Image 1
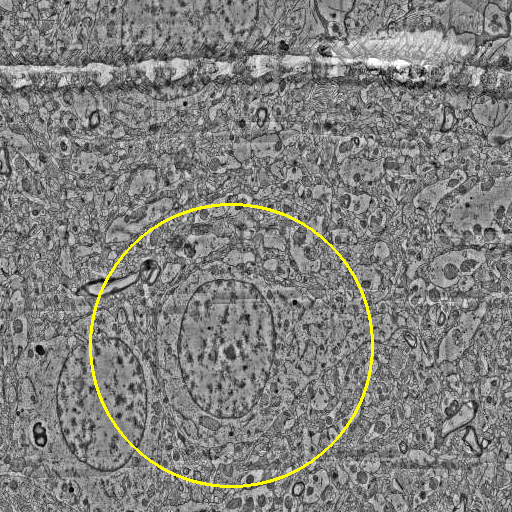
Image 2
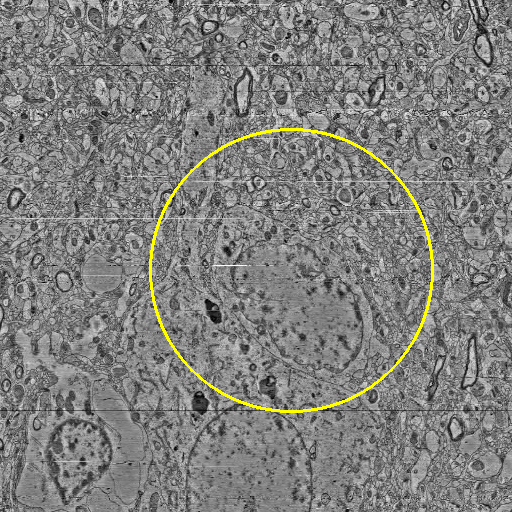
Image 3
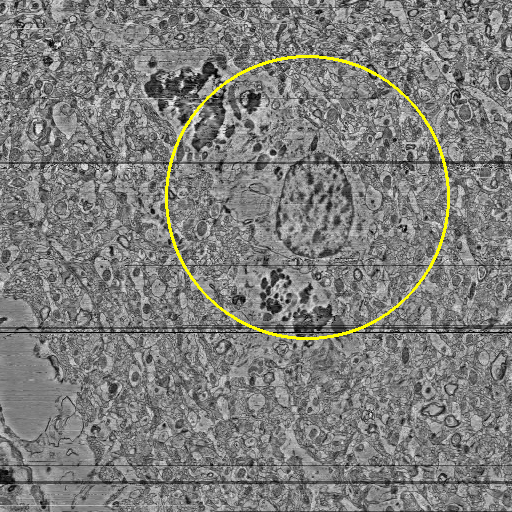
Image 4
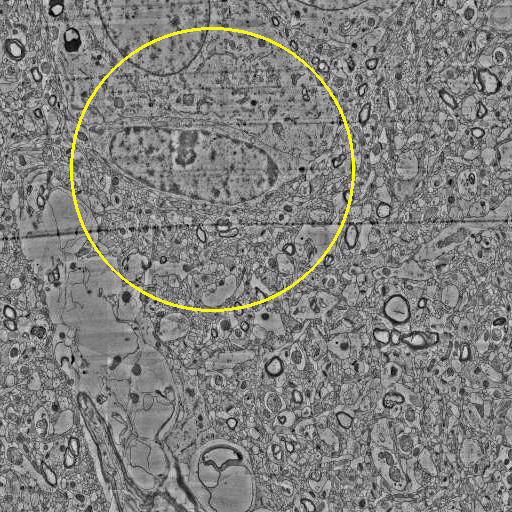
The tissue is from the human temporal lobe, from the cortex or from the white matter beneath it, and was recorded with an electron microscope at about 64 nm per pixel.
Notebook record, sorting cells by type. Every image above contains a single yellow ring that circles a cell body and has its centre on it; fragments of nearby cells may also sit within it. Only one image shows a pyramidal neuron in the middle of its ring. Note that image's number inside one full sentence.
For image 1, the cell in the middle of its yellow ring is the match.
